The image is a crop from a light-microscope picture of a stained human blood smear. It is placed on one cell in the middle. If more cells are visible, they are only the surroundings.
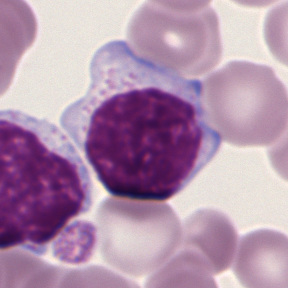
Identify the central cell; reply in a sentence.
This crop is built around a large granular lymphocyte at its centre.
